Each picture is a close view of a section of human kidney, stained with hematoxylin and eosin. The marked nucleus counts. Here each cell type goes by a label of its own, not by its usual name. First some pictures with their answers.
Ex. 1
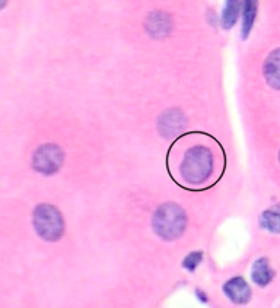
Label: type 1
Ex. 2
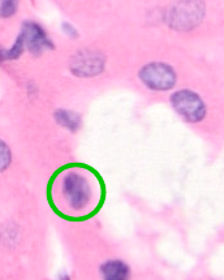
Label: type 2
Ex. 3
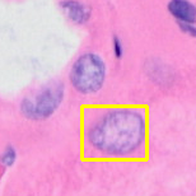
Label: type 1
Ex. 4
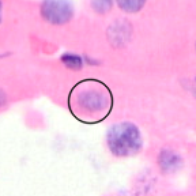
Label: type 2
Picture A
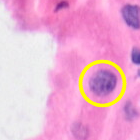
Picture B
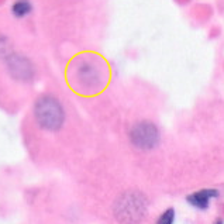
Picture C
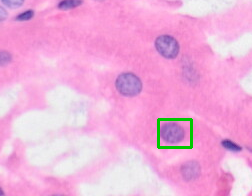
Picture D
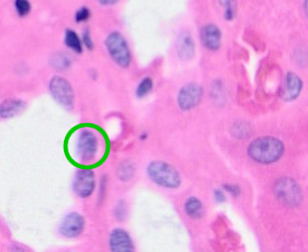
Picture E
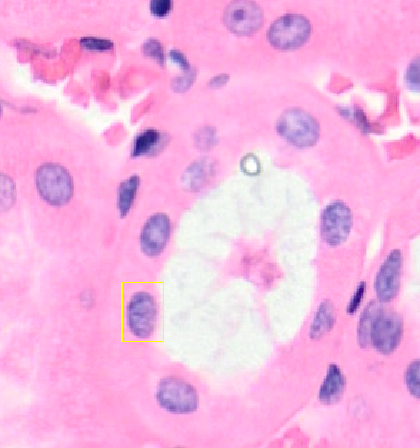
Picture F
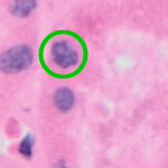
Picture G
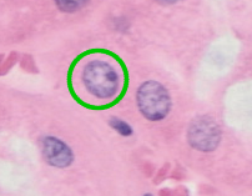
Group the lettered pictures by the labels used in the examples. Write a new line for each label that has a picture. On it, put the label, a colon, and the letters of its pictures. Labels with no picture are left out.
type 1: A, B, C, F, G
type 2: D, E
